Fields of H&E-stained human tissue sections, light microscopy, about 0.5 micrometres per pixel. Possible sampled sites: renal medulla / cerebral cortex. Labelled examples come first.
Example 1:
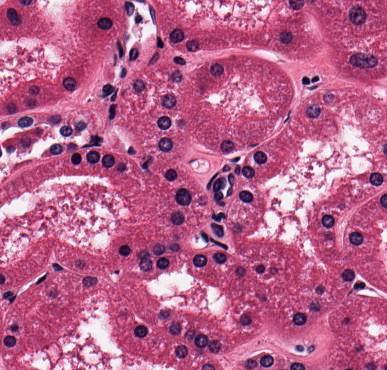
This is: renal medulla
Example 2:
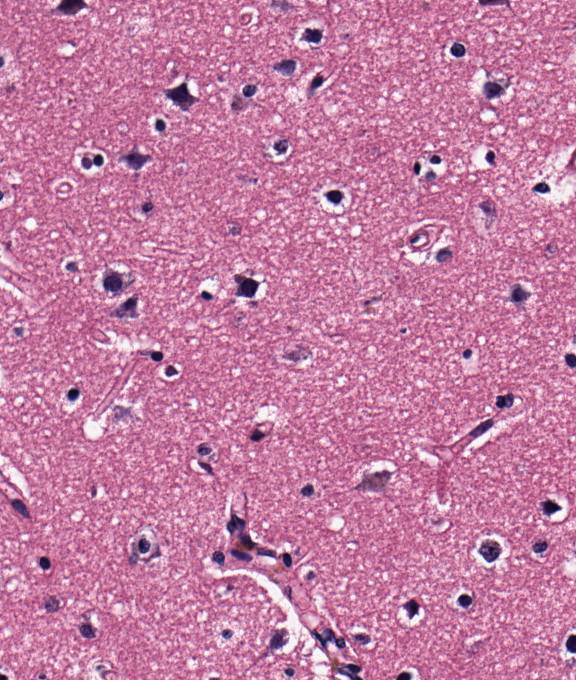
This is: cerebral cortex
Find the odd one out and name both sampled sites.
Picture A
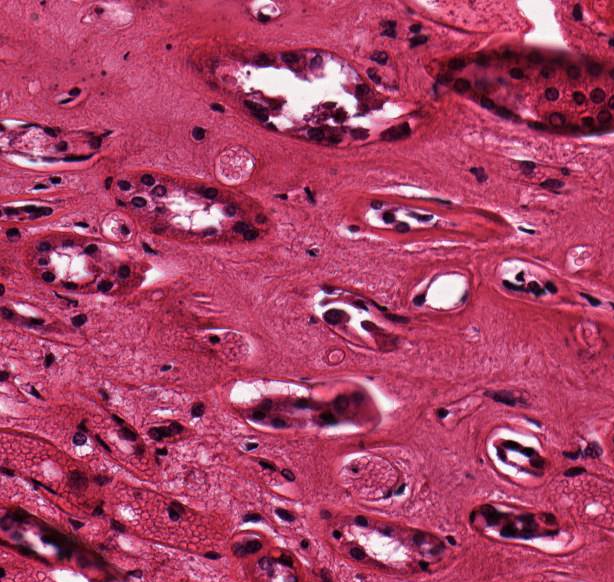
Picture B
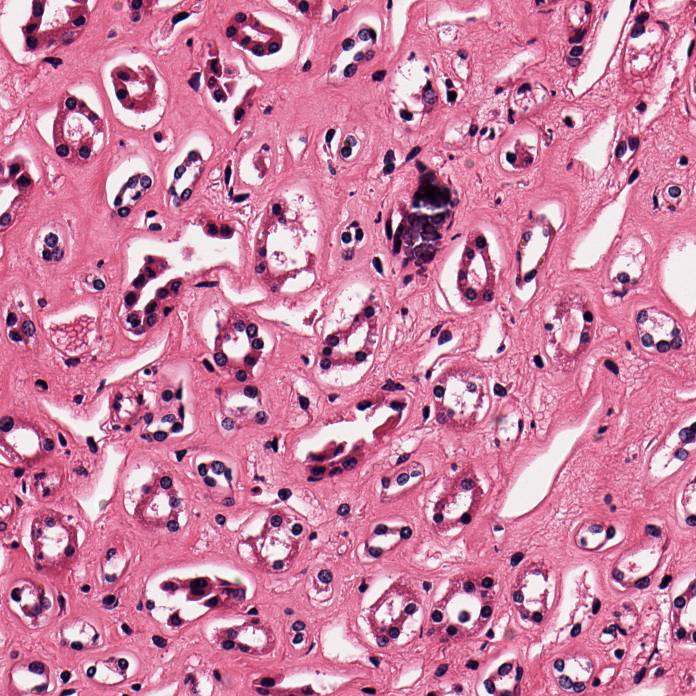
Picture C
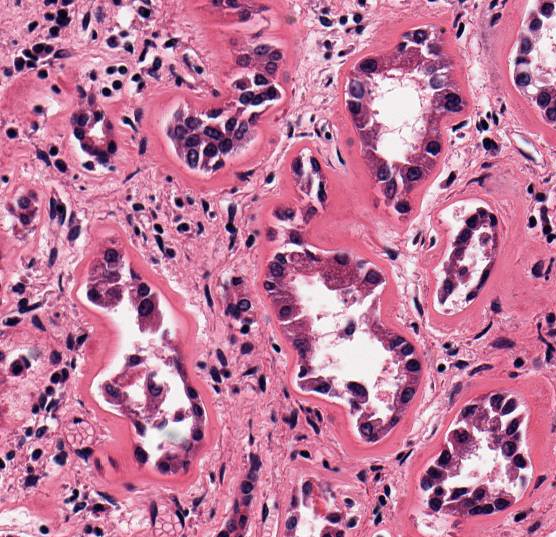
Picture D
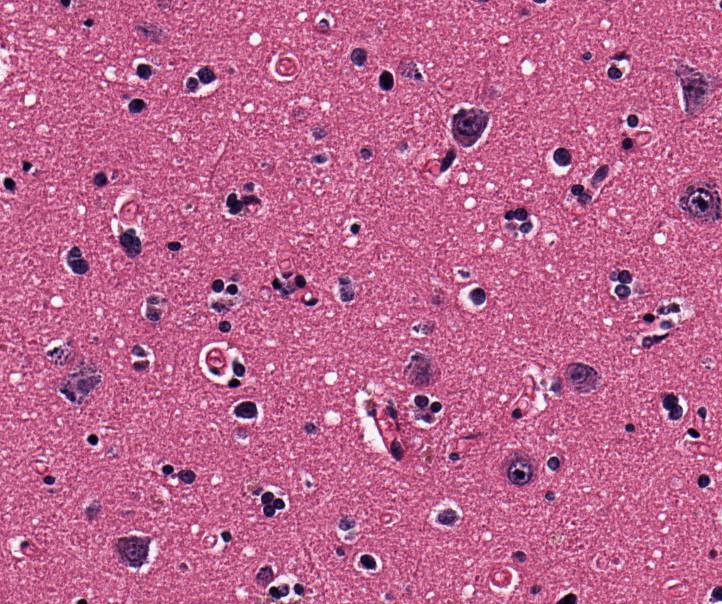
D (cerebral cortex) is the exception; every other picture is renal medulla.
